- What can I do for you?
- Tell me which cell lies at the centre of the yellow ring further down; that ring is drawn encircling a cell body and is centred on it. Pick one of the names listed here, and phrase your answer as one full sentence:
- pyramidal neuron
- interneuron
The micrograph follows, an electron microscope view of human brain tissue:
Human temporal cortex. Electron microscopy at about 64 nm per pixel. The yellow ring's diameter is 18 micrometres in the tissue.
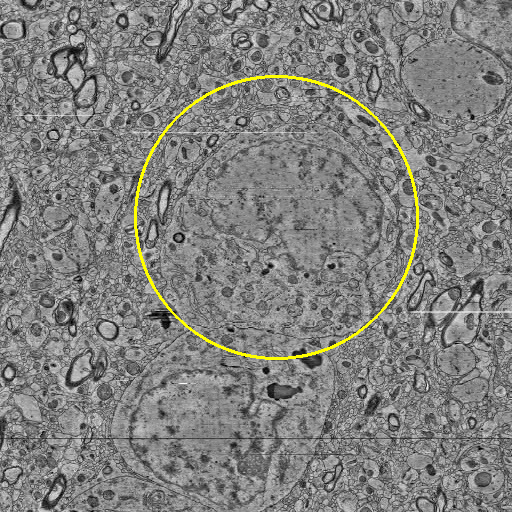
The cell whose body lies at the centre of the yellow ring is an interneuron.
